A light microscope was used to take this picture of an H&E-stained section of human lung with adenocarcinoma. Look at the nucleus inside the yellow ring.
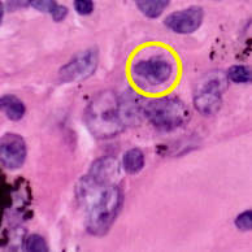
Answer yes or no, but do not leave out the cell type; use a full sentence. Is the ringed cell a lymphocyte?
Yes, it is a lymphocyte that the ringed cell is.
